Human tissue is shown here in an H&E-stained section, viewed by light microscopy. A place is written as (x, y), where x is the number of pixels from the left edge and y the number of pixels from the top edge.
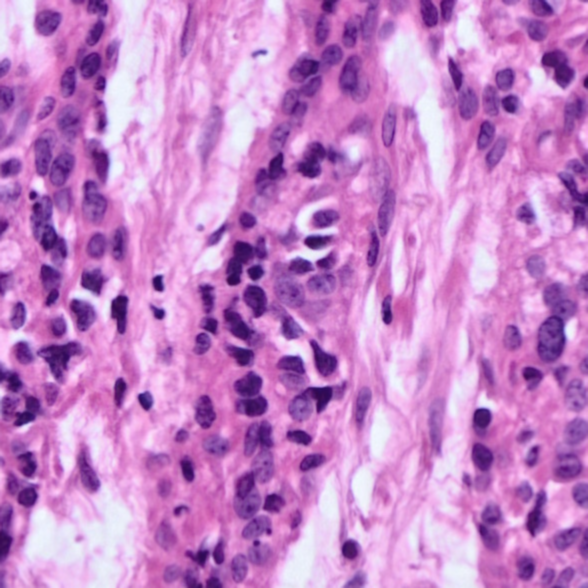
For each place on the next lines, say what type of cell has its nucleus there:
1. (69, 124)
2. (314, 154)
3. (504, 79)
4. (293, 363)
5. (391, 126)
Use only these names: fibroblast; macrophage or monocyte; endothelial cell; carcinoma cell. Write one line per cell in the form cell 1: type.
cell 1: carcinoma cell
cell 2: carcinoma cell
cell 3: macrophage or monocyte
cell 4: carcinoma cell
cell 5: endothelial cell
